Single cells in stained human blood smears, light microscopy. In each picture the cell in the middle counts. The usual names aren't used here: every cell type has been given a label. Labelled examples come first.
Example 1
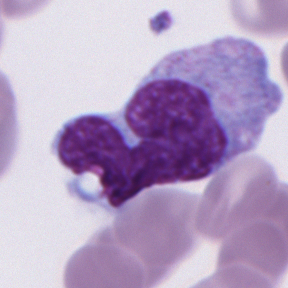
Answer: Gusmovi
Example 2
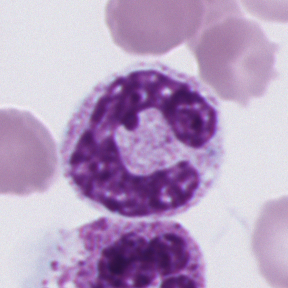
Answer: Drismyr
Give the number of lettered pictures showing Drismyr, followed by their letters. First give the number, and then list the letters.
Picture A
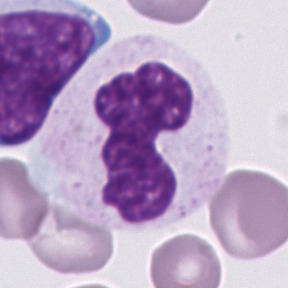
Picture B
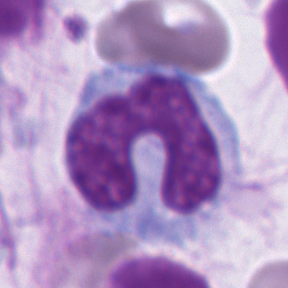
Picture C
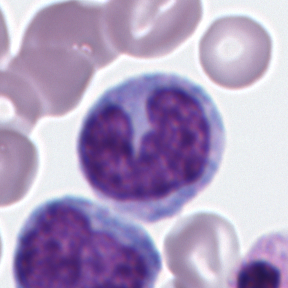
1, namely A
